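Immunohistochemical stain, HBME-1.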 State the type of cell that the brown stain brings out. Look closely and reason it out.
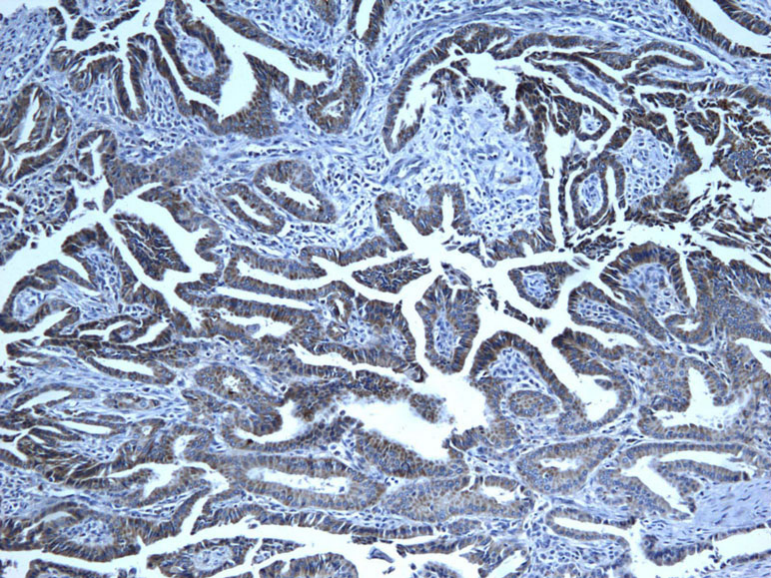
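Tumor cells. Brown stain lies in the epithelial cells lining the papillae. The stromal cores between them stay blue. Staining is present throughout the lining epithelium across the field.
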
